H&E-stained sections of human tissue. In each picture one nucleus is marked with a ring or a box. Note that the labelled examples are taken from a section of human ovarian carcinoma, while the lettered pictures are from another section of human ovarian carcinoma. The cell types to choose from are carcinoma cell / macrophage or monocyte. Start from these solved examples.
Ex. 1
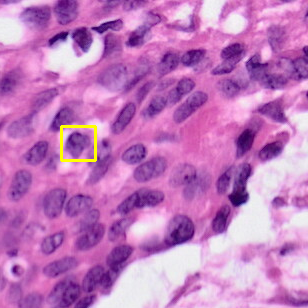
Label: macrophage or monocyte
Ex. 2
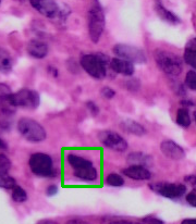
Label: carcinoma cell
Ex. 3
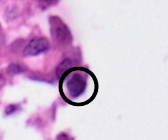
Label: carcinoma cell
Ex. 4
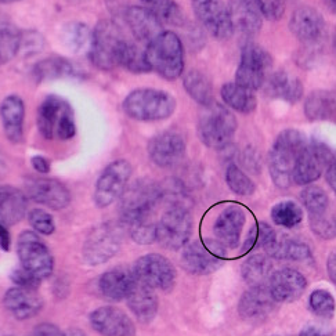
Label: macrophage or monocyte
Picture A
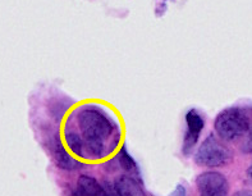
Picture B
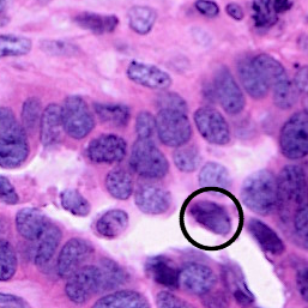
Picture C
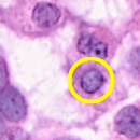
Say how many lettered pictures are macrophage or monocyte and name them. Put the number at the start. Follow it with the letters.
1: C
